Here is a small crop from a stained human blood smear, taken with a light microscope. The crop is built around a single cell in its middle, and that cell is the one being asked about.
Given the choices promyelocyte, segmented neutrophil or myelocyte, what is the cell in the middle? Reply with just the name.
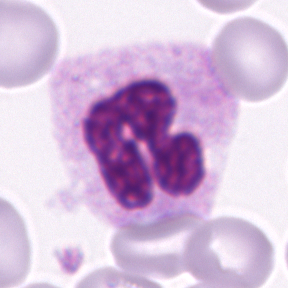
segmented neutrophil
